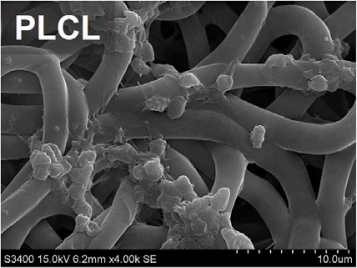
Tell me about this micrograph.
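A meshwork of smooth, cylindrical fibres of several micrometres in width is seen from above, and on and between them sit small bodies only a few micrometres across. Many of these bodies are not rounded but irregular and flattened, and several lie heaped together in clumps that cling to the fibres. These are platelets adhered to the fibrous membrane, many of them spread and gathered into aggregates rather than lying singly.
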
